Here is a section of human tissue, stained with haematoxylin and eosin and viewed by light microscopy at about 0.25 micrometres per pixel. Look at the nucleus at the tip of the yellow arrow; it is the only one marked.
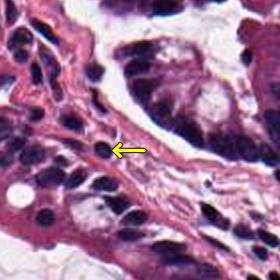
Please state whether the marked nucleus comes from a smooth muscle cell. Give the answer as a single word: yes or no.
no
